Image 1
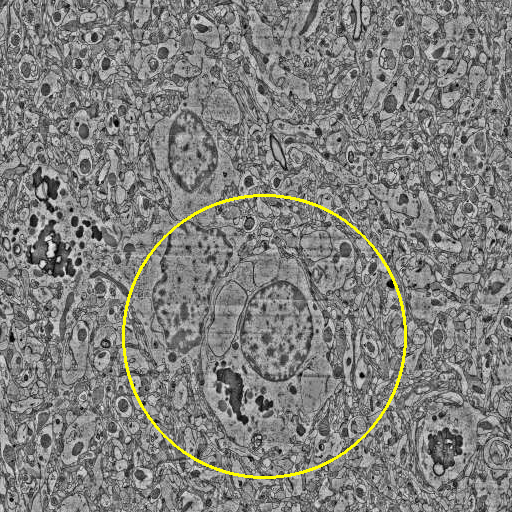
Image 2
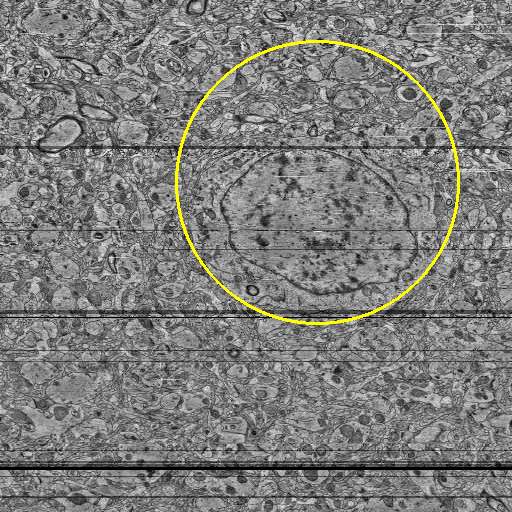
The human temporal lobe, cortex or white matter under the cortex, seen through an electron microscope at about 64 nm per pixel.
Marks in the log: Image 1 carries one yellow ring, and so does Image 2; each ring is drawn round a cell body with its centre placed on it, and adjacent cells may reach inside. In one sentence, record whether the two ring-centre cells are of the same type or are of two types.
The two cells at the ring centres, one in each image, are of two types.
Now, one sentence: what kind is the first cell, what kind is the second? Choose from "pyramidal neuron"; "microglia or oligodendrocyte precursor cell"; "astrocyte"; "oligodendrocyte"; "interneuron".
The first picture has an astrocyte at its ring centre, and the second has a pyramidal neuron.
